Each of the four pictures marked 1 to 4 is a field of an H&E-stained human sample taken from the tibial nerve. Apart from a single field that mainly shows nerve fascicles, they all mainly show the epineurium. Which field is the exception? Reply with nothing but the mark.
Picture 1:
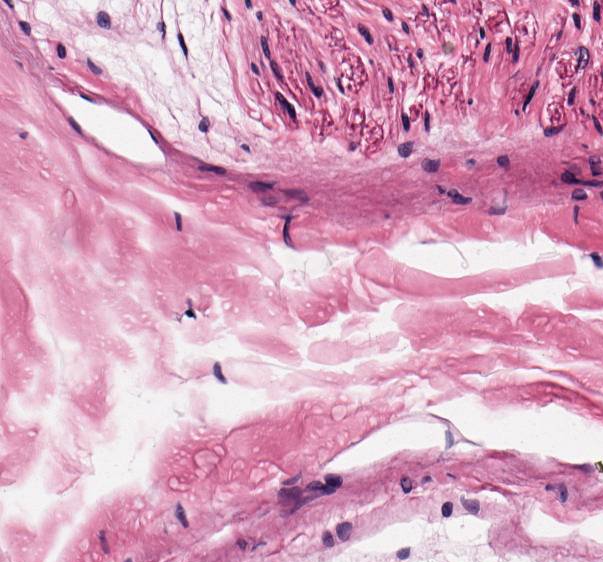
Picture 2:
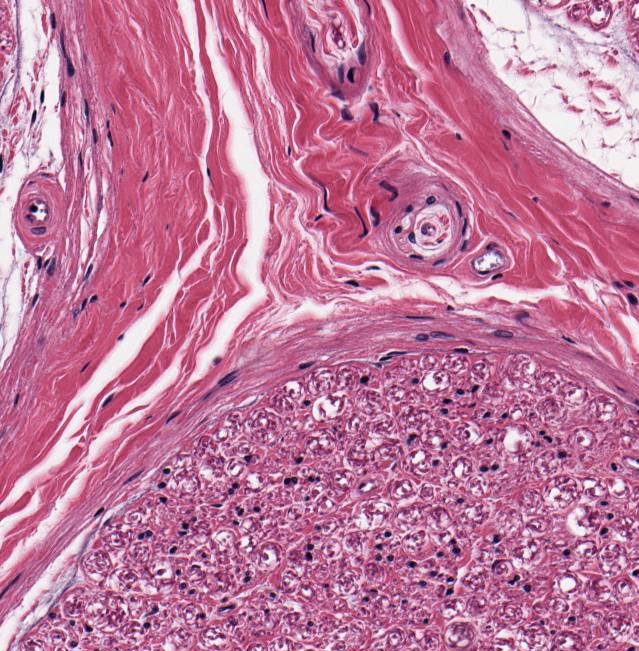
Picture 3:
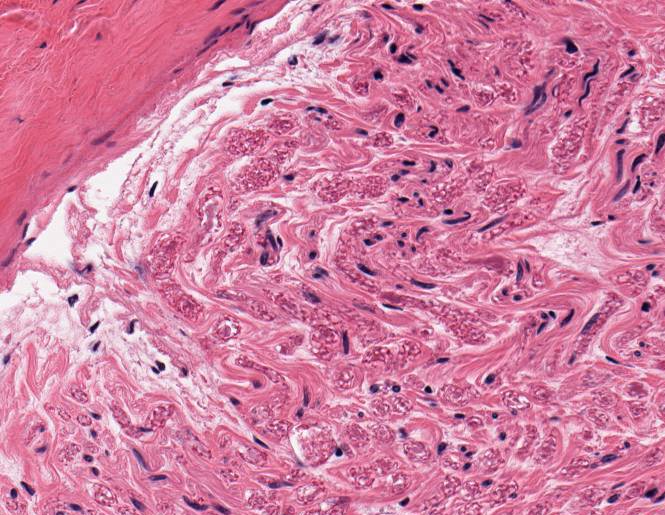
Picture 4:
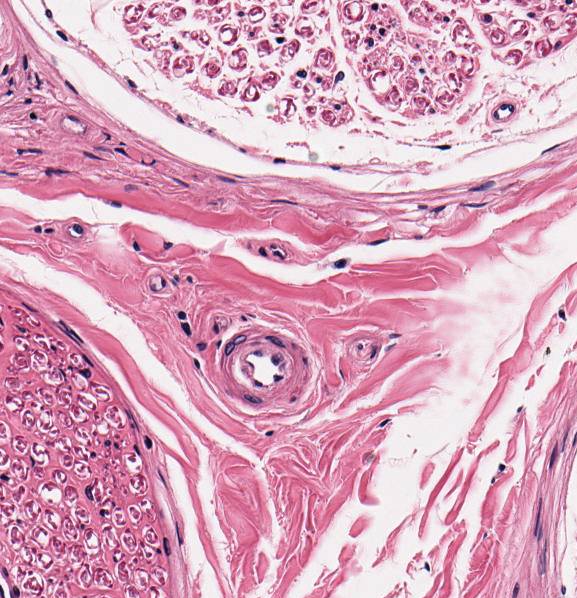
3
